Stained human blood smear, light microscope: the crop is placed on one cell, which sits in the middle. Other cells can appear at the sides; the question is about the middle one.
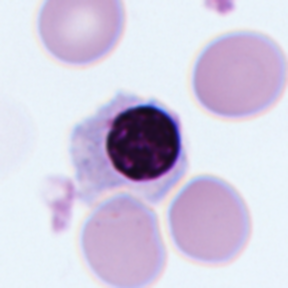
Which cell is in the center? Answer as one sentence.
By type, the central cell of the crop is a normoblast.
